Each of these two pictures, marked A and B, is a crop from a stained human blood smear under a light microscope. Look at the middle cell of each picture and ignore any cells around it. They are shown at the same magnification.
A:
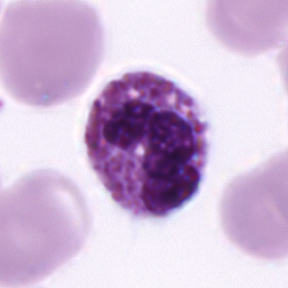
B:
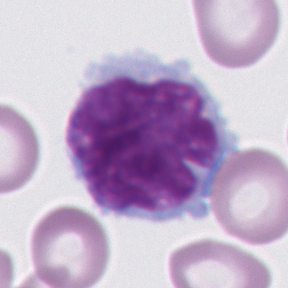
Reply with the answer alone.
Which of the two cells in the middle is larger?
B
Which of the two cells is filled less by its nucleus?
A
